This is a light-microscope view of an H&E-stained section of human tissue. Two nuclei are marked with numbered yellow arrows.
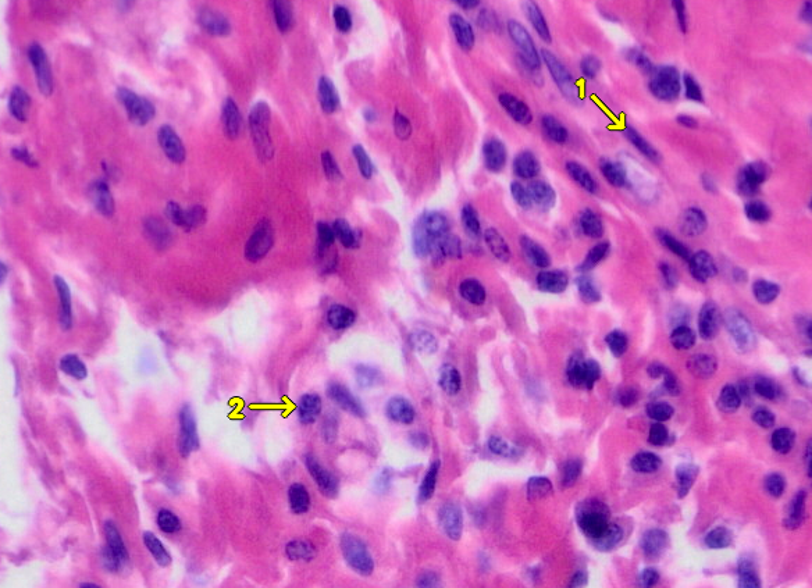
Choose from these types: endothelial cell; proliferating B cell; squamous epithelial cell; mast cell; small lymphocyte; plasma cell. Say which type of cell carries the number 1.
endothelial cell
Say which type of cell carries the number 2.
mast cell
